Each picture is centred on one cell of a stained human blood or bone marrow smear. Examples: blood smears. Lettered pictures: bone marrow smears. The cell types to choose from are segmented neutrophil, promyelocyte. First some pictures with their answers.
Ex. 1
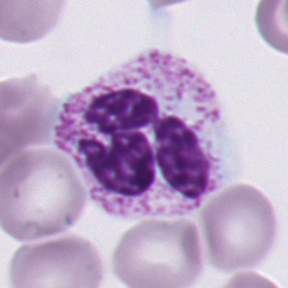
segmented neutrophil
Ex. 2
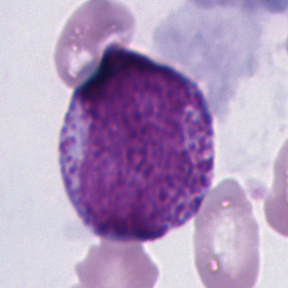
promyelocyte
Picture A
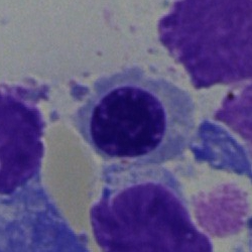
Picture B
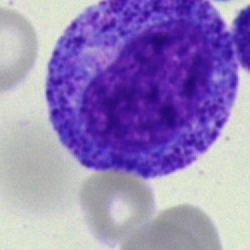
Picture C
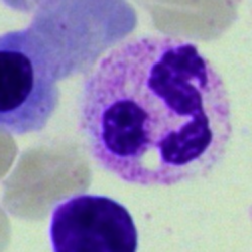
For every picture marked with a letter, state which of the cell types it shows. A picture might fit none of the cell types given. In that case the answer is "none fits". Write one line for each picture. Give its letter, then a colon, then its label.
A: none fits
B: promyelocyte
C: segmented neutrophil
